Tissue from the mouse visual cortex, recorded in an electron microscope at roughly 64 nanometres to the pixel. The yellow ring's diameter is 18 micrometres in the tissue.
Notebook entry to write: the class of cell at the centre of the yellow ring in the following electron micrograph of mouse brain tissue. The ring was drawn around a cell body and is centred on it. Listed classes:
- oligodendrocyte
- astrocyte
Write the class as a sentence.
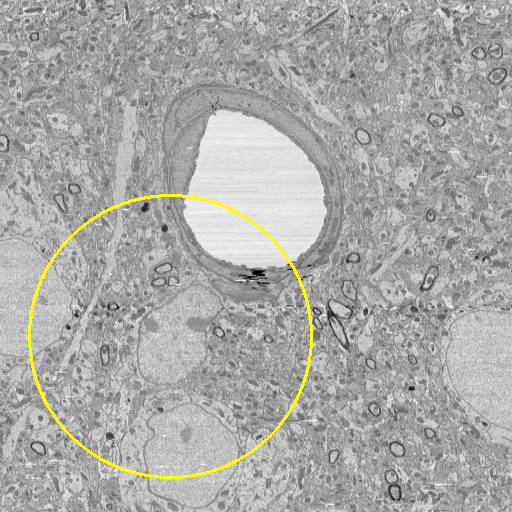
The yellow ring sits on an astrocyte.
